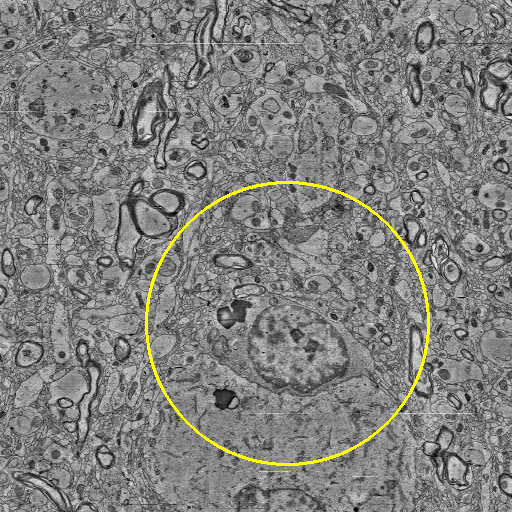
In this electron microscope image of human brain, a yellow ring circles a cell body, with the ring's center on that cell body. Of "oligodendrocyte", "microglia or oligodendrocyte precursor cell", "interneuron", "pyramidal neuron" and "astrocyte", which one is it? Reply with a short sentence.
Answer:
It is an oligodendrocyte at the center of the ring.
